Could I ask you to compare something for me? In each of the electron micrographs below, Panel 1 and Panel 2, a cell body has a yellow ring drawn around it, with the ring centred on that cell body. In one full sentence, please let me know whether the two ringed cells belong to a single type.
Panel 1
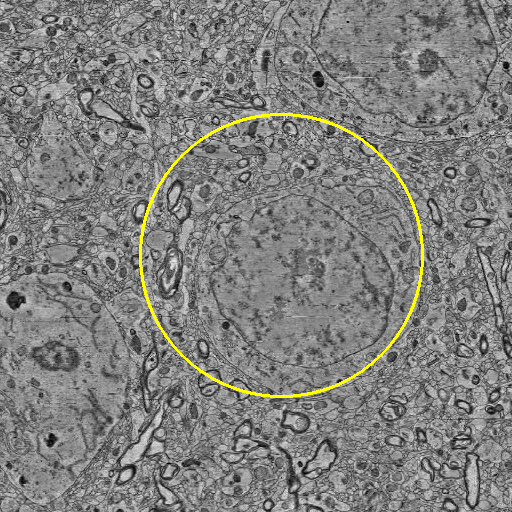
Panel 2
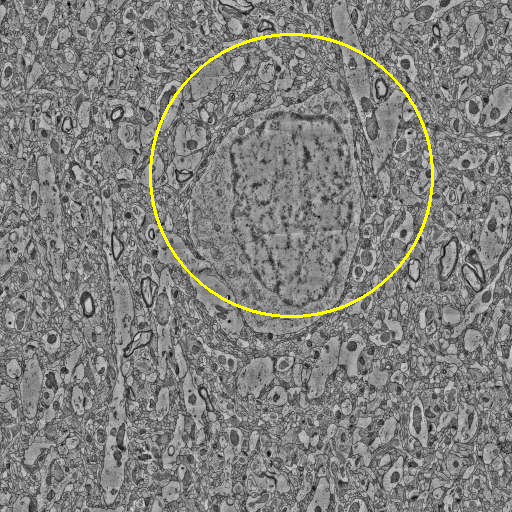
No, the two cells at the centres of the rings are of two types.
